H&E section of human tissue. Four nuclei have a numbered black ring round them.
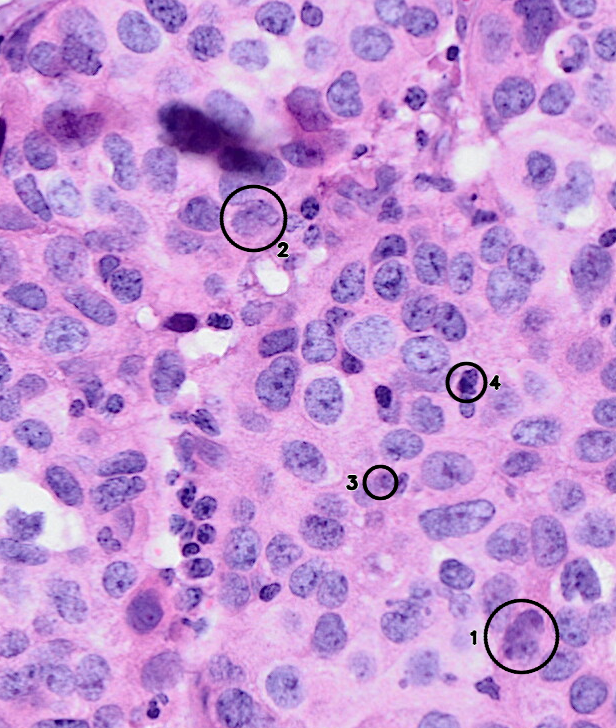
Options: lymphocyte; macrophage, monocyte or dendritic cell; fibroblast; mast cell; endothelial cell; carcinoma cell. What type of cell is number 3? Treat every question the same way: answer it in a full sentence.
Numbered cell 3 is a carcinoma cell in this tissue section.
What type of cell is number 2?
The cell identified by the number 2 is a carcinoma cell.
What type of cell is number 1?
The cell to which the number 1 is assigned is a carcinoma cell.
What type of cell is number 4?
The mark numbered 4 indicates the nucleus of a lymphocyte.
